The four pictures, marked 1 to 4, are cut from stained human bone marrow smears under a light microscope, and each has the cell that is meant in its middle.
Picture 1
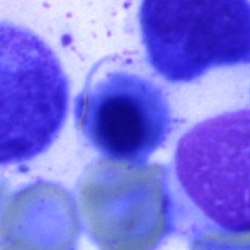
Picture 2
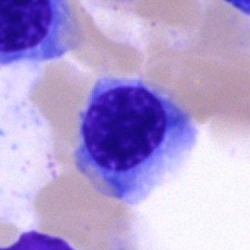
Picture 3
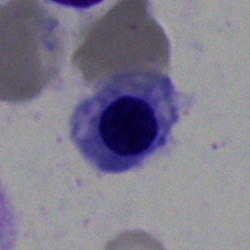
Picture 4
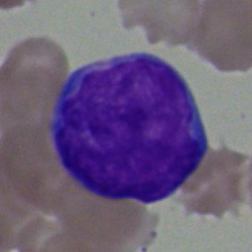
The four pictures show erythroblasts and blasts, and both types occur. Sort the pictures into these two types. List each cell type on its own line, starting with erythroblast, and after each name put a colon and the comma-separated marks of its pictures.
erythroblast: 1, 2, 3
blast: 4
